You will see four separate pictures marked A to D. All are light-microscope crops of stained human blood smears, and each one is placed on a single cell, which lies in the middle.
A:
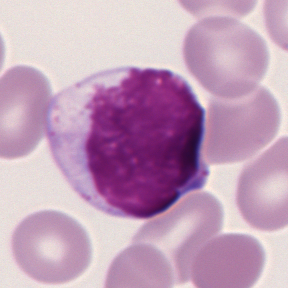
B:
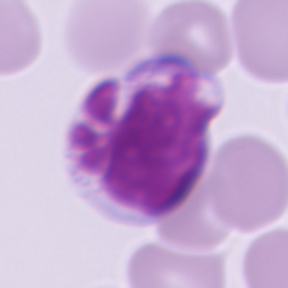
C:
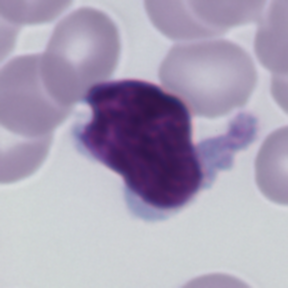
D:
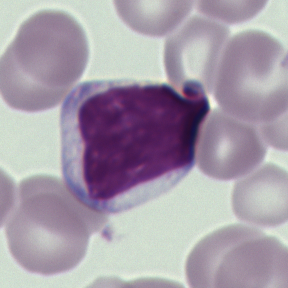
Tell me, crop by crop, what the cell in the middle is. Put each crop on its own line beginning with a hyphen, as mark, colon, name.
- A: large granular lymphocyte
- B: large granular lymphocyte
- C: typical lymphocyte
- D: large granular lymphocyte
